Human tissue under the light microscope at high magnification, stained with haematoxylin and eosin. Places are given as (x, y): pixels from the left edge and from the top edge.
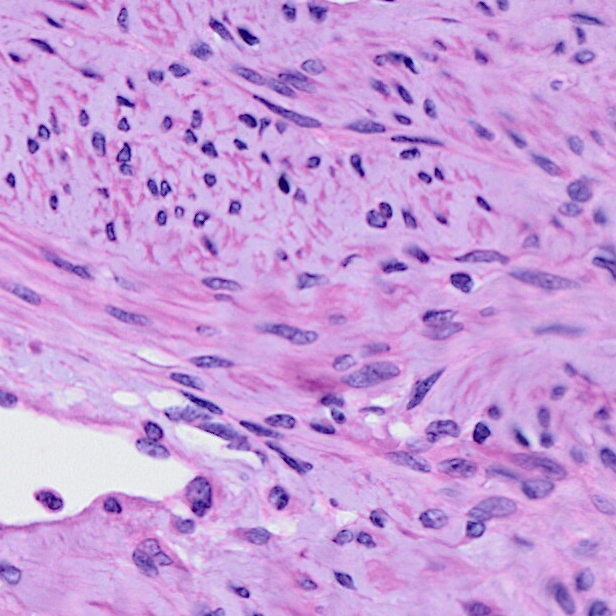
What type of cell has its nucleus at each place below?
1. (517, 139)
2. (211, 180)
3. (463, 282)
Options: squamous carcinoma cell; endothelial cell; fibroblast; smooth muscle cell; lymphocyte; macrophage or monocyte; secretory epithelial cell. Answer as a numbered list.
1. smooth muscle cell
2. smooth muscle cell
3. lymphocyte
